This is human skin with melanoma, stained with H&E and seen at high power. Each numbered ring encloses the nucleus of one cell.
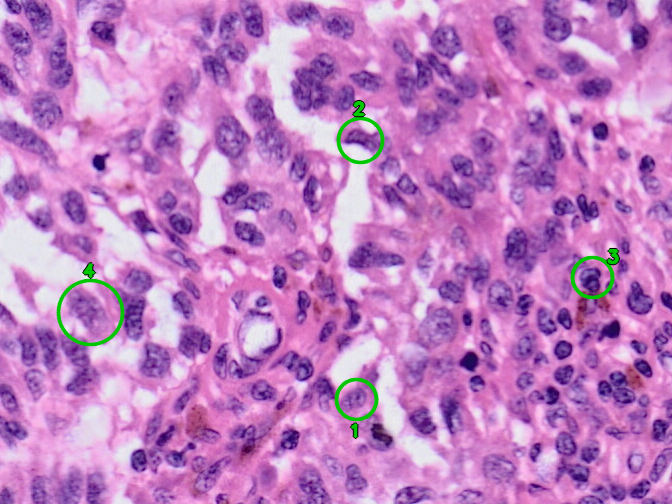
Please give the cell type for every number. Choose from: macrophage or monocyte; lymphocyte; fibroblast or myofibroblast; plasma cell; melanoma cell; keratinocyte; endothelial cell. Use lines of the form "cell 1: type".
cell 1: melanoma cell
cell 2: melanoma cell
cell 3: lymphocyte
cell 4: melanoma cell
